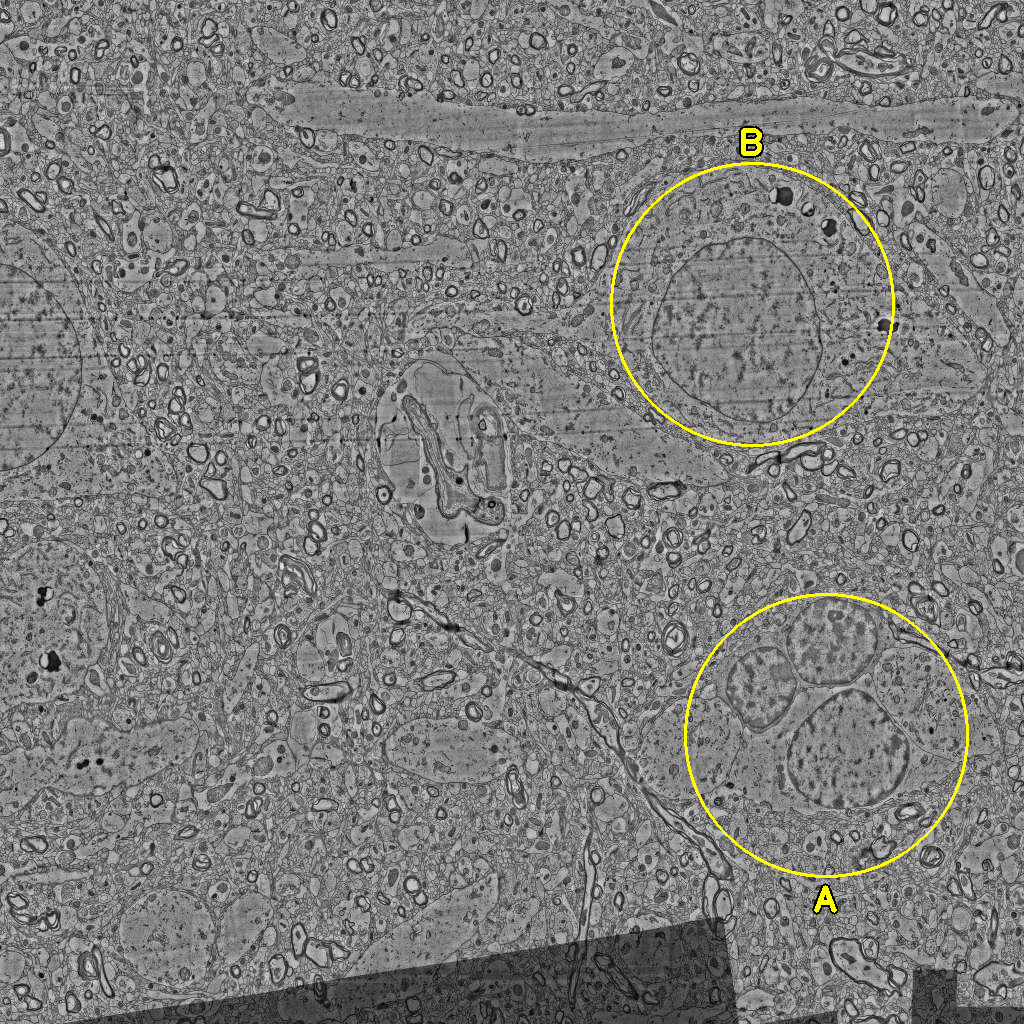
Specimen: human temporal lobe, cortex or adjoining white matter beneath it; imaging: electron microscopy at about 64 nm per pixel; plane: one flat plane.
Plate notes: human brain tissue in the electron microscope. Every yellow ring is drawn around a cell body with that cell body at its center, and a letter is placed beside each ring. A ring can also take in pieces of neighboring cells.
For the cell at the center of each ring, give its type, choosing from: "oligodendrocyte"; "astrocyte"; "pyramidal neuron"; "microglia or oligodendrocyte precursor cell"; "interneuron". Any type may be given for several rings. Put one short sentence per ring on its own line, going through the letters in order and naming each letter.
Ring A shows a microglial cell or oligodendrocyte precursor cell at the center.
Ring B shows a pyramidal neuron at the center.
